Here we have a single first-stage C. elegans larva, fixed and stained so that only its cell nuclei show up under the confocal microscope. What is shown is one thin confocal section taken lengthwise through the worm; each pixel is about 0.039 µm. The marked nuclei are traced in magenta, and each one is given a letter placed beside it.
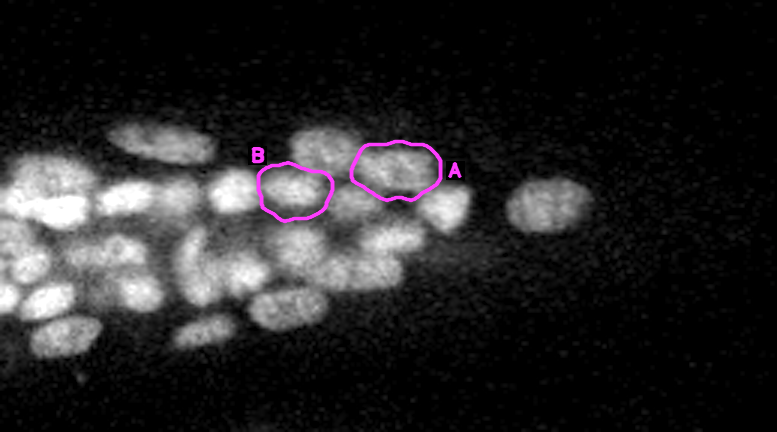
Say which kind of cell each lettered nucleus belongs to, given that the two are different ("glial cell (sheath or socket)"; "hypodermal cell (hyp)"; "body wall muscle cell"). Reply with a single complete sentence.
B belongs to a glial cell (sheath or socket), and A to a body wall muscle cell.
